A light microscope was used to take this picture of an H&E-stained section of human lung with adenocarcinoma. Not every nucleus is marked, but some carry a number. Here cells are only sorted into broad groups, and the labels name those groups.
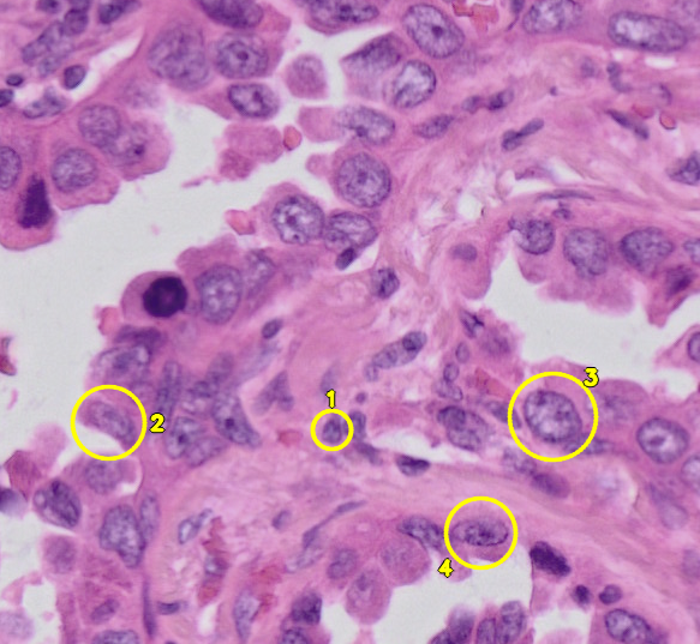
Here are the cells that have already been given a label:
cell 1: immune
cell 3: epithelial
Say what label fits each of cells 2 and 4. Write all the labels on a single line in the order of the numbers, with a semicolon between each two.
epithelial; epithelial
